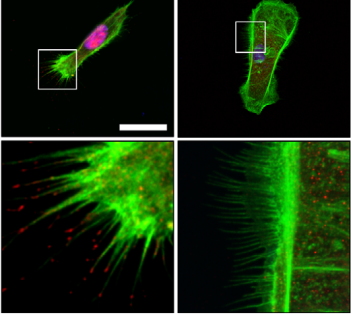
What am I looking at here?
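Single flattened cultured cells are seen, their outlines and cytoplasm traced in green, each with a nucleus near the middle. At the cell edges many thin, finger-like green protrusions radiate outward, shown enlarged in the lower row, and small red dots lie scattered over the cytoplasm and along the protrusions.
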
